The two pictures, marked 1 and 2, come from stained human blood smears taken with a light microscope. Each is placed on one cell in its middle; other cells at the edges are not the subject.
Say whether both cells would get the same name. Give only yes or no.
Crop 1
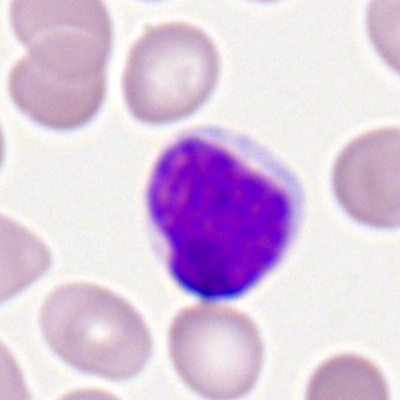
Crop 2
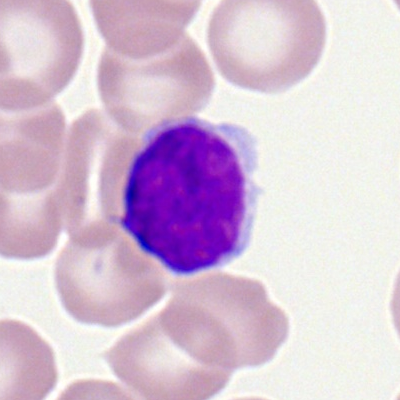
yes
